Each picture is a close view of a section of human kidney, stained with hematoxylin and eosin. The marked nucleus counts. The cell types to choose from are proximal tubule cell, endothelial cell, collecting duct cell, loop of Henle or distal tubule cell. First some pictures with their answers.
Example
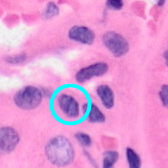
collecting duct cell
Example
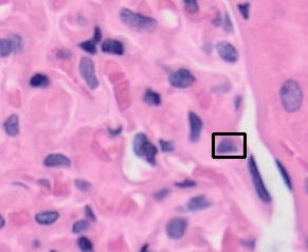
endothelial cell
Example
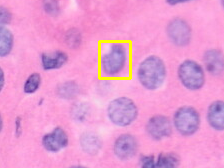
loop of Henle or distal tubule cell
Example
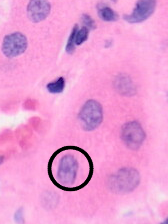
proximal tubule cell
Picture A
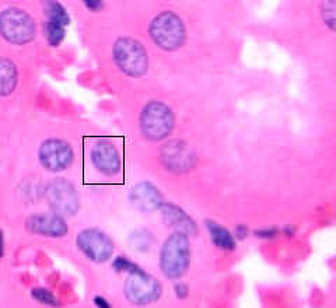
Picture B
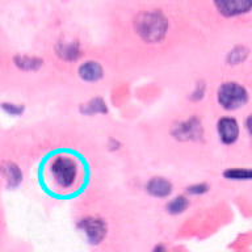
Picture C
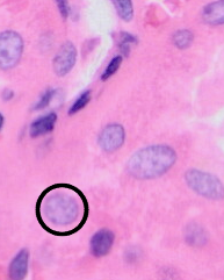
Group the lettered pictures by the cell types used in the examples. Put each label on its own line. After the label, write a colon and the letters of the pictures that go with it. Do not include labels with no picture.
proximal tubule cell: C
collecting duct cell: A
loop of Henle or distal tubule cell: B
